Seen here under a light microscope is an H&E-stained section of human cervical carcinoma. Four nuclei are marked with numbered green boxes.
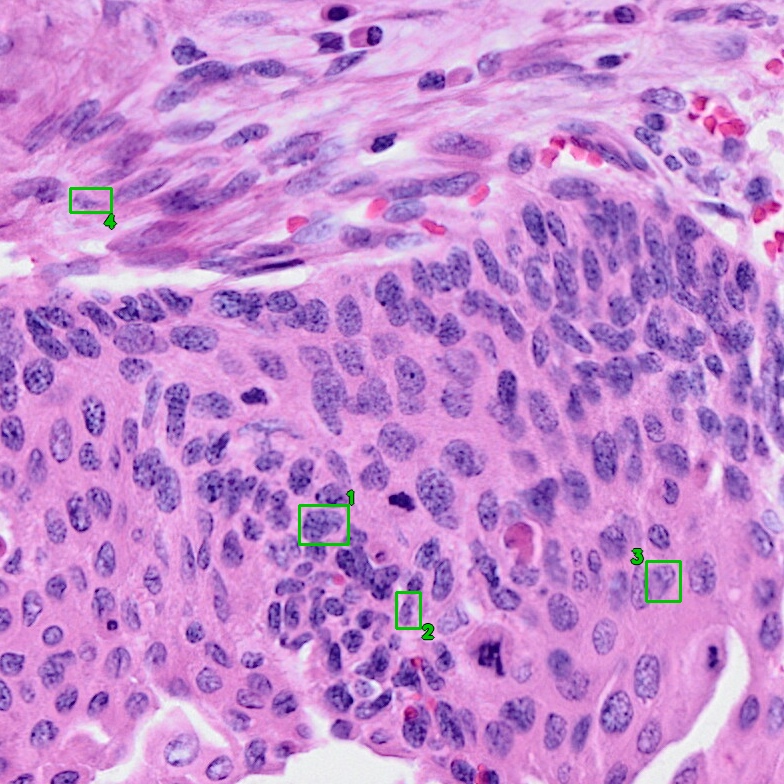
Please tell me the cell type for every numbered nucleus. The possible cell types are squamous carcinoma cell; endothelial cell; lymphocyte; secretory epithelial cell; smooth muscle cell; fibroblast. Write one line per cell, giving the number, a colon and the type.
1: squamous carcinoma cell
2: squamous carcinoma cell
3: squamous carcinoma cell
4: fibroblast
